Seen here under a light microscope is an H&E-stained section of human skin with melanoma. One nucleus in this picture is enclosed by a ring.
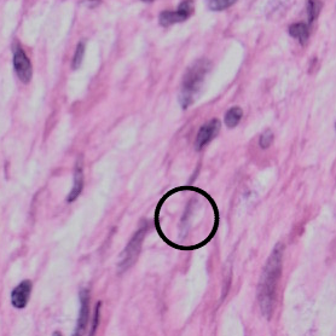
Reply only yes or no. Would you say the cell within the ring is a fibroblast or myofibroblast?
yes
